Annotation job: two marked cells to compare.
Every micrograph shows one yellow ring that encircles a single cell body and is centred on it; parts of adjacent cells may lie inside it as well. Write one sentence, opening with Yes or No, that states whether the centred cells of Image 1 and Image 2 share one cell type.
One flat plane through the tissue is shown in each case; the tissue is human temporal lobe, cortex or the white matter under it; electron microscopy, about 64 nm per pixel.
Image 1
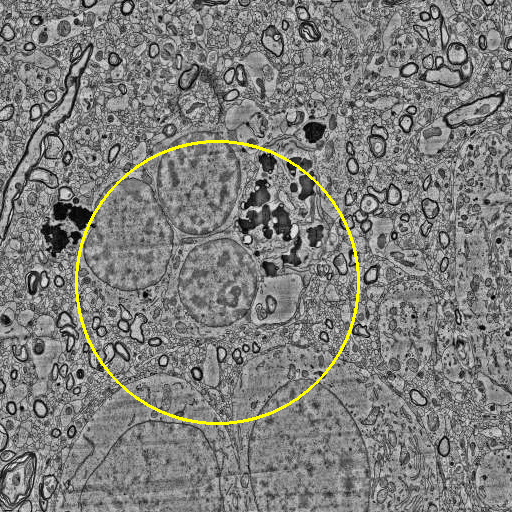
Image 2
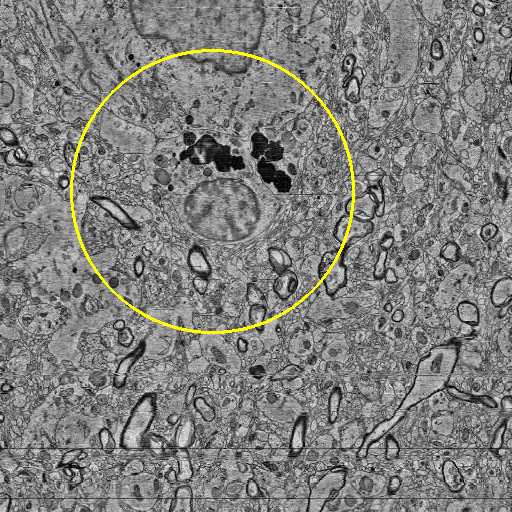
Yes, the cell centred in Image 1 shares its type with the cell centred in Image 2.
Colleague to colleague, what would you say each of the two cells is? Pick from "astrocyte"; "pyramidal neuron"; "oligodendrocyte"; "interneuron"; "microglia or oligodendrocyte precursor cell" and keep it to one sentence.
In both pictures the ring is centred on an oligodendrocyte.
